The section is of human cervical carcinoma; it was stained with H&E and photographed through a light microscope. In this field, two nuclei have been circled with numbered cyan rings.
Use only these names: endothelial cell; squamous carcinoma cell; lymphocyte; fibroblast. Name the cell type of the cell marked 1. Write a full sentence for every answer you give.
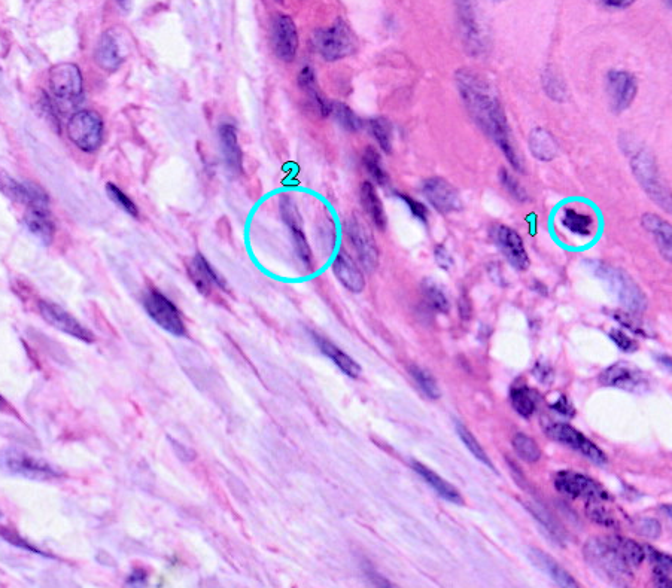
Cell 1 of the marked set is a lymphocyte.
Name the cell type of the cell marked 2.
Number 2 is placed on a fibroblast here.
